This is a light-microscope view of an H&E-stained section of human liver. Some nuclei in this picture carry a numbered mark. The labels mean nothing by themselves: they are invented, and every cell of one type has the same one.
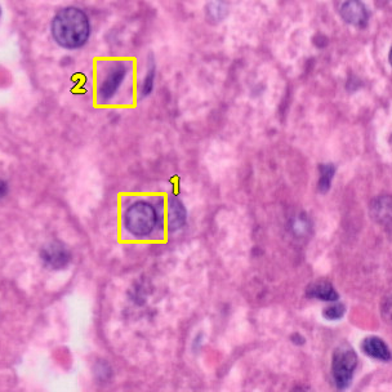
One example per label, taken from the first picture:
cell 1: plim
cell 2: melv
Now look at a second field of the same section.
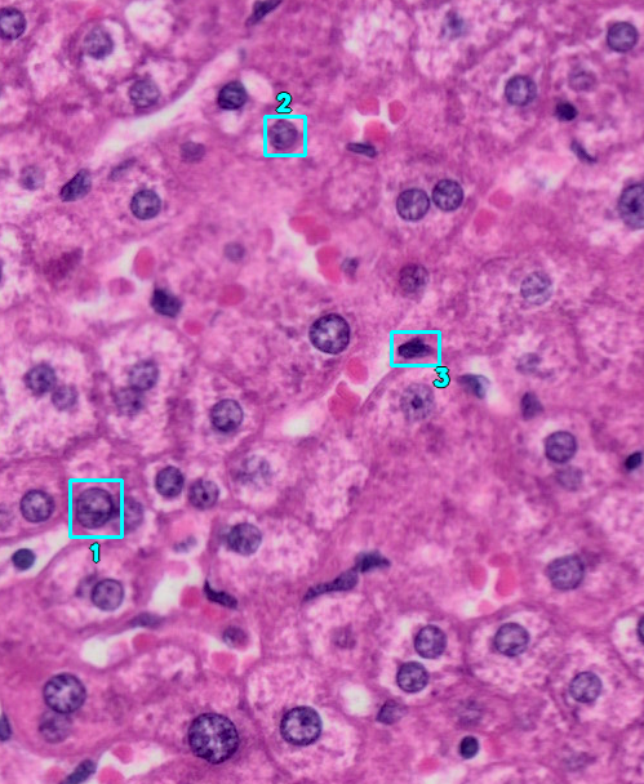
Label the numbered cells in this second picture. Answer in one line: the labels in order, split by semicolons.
plim; plim; melv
